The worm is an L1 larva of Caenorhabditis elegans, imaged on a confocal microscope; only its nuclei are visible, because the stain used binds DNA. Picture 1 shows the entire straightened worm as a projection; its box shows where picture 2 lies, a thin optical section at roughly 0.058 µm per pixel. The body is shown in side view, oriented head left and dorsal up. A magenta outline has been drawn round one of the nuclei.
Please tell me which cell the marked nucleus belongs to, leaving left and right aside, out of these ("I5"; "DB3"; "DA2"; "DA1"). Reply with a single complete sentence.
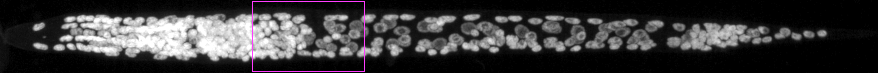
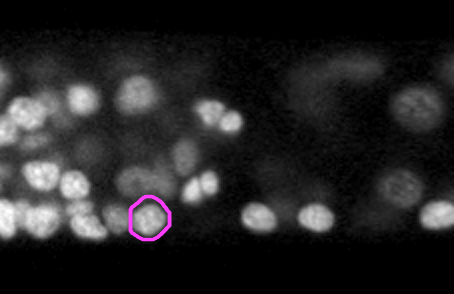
The cell whose nucleus is marked is DA1, a neuron.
